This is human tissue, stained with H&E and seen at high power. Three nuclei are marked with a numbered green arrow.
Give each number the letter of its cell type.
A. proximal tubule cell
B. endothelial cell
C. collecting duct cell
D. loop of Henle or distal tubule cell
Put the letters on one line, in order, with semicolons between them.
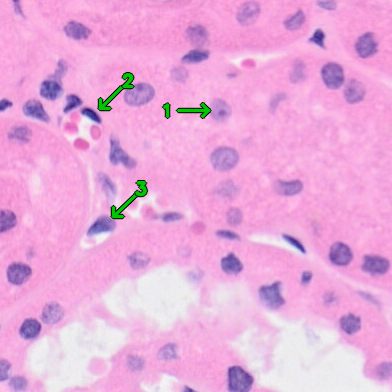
A; B; B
